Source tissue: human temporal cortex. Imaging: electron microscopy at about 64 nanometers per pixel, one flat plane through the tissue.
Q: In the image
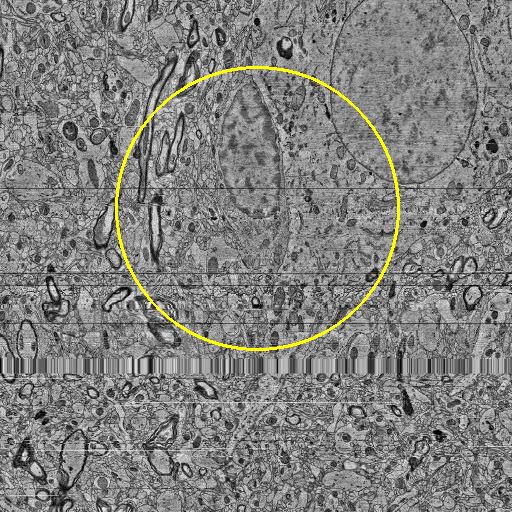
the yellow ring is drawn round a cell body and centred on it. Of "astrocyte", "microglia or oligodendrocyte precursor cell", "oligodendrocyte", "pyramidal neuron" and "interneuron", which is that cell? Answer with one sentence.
The cell centred in the ring is an oligodendrocyte.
